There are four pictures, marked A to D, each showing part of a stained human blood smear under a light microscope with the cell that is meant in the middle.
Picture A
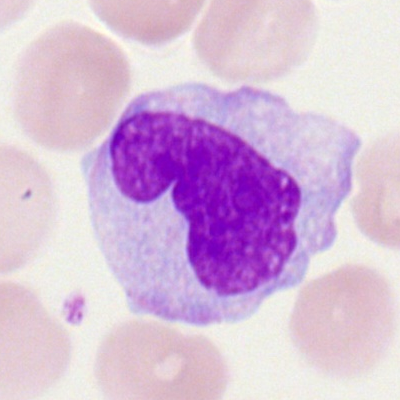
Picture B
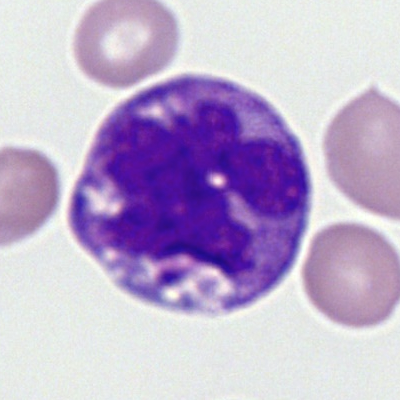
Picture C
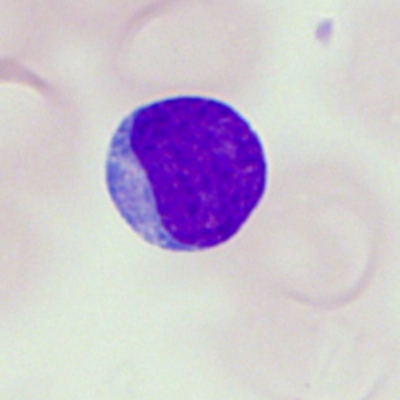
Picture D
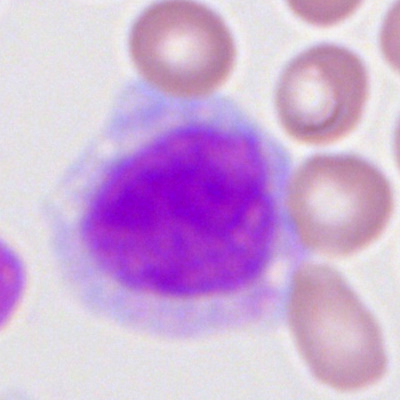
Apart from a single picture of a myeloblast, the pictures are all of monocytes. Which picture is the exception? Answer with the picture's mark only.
C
